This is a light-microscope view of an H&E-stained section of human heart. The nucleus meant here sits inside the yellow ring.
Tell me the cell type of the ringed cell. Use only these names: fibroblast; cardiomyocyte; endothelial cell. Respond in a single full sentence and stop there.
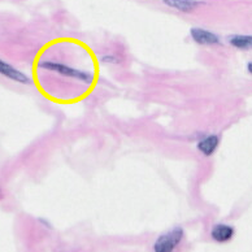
In the tissue at hand, the ringed cell is a fibroblast.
